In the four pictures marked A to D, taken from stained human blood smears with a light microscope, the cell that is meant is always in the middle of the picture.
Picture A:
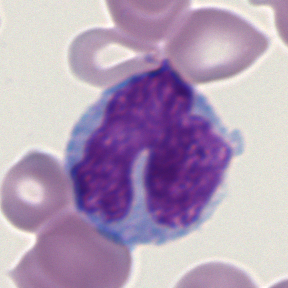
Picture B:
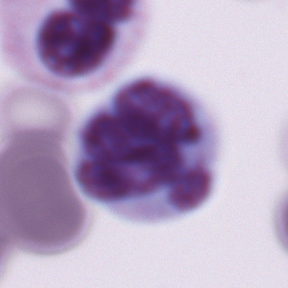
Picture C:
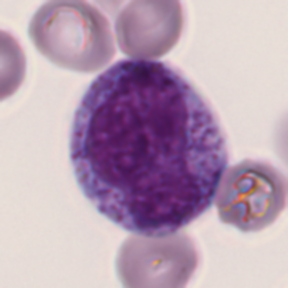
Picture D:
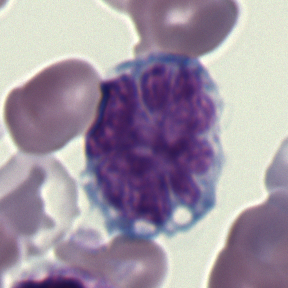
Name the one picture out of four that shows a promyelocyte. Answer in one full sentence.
The picture with the promyelocyte is C.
